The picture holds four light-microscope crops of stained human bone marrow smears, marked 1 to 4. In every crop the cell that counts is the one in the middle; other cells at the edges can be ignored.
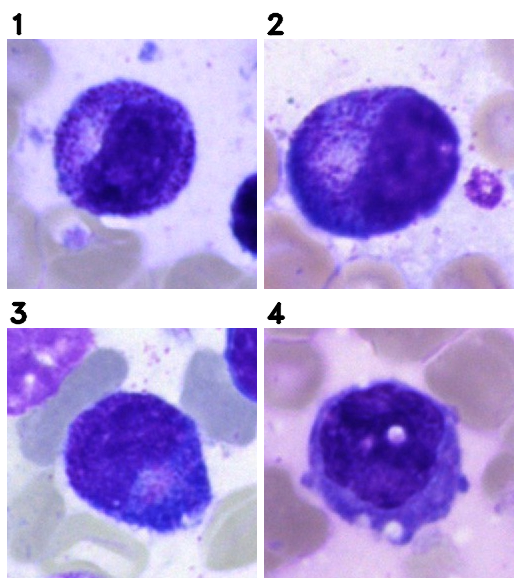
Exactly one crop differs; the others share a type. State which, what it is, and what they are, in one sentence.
Crop 4, showing a monocyte, is the exception; the others all show promyelocytes.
